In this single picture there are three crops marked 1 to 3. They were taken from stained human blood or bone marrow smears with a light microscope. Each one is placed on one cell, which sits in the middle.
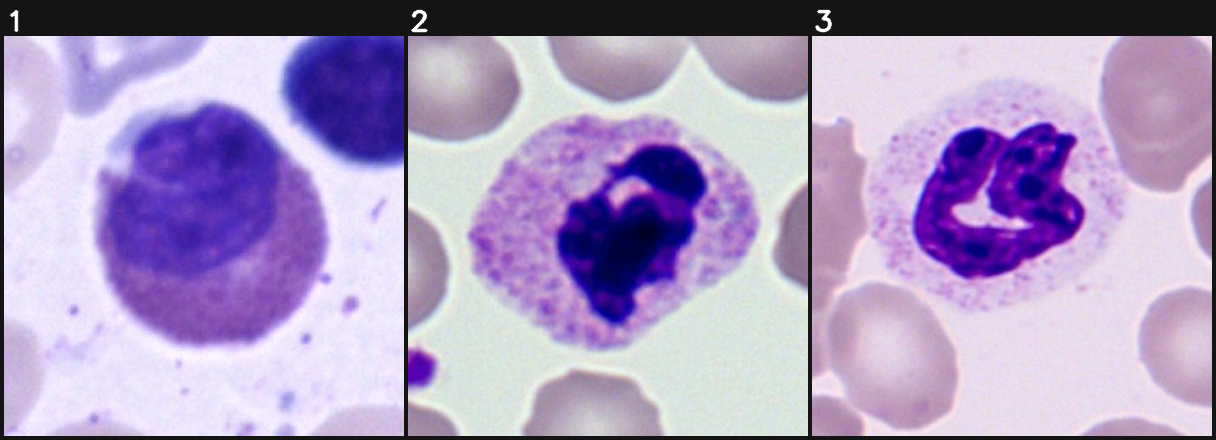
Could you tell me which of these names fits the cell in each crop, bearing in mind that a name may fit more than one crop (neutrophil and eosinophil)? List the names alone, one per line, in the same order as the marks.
eosinophil
neutrophil
neutrophil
